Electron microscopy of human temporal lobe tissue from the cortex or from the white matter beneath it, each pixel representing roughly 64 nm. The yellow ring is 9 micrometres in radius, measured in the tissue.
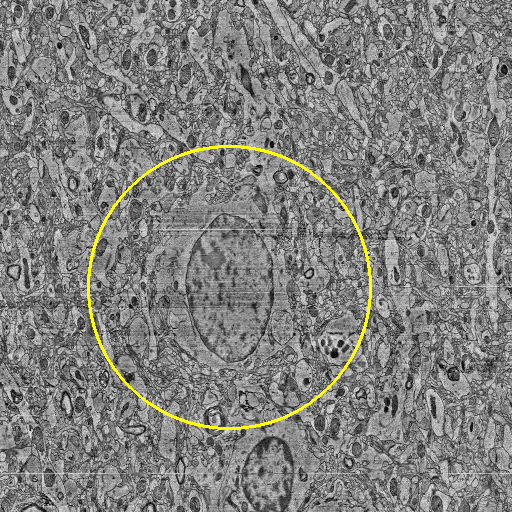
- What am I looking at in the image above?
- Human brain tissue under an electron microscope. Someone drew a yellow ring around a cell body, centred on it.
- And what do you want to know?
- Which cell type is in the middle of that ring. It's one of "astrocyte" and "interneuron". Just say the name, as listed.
astrocyte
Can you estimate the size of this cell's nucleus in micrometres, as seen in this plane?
The nucleus is about 10 micrometres in length and 6 in width, clearly longer than it is wide in this plane.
